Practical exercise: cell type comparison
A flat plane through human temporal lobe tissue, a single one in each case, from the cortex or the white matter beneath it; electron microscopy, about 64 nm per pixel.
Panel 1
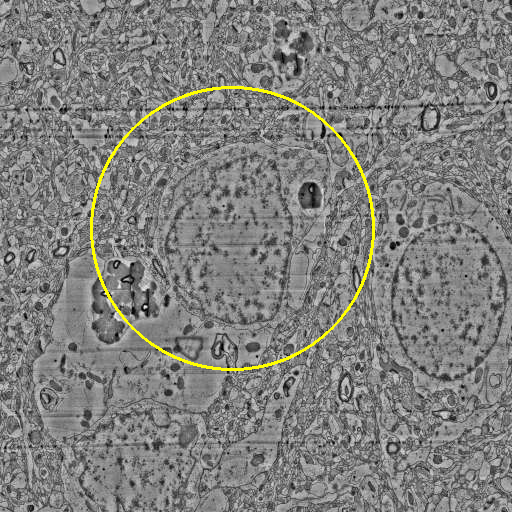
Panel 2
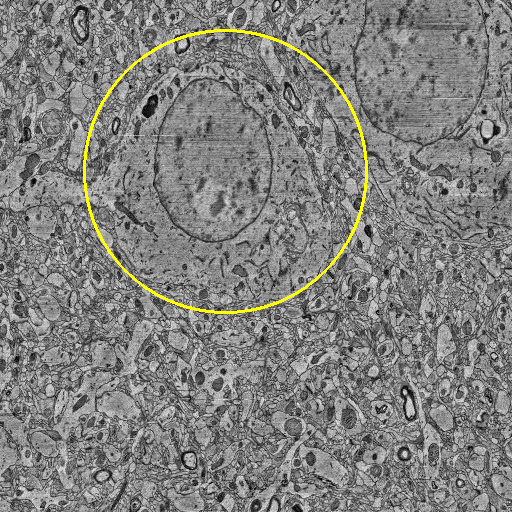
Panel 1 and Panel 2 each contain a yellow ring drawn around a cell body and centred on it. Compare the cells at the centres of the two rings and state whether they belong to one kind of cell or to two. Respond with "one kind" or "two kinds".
two kinds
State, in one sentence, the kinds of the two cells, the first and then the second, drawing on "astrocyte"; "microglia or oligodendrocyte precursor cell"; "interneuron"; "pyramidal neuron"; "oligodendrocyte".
The ring in the second picture is centred on a pyramidal neuron, the ring in the first on an interneuron.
